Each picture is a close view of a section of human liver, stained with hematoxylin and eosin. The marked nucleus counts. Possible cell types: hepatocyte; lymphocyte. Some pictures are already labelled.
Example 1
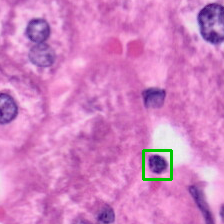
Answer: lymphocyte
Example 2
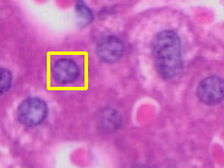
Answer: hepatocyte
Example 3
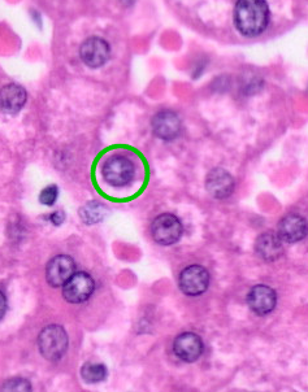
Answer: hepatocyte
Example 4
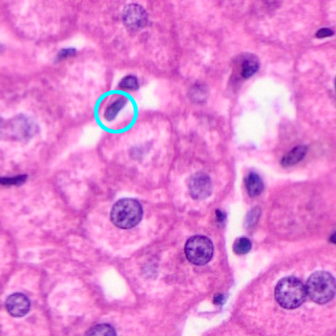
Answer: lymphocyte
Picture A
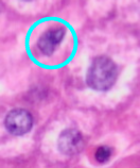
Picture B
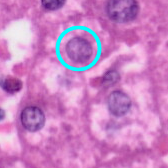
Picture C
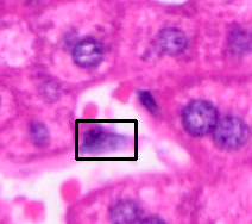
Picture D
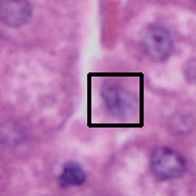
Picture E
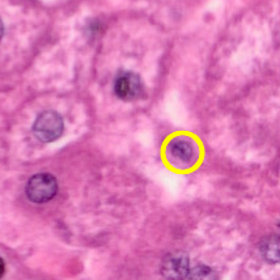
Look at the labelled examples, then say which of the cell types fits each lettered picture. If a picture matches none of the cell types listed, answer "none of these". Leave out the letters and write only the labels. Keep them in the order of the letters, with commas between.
none of these, hepatocyte, none of these, none of these, none of these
